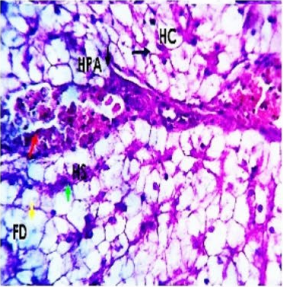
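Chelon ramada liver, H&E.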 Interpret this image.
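Small dark round nuclei sit at the edges of many cells. A portal area with a band of denser purple connective tissue crosses the field, and beside it lies a compact cluster of deeply stained, dark granular cells. The overall appearance is of heavy lipid vacuolation of the hepatocytes.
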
